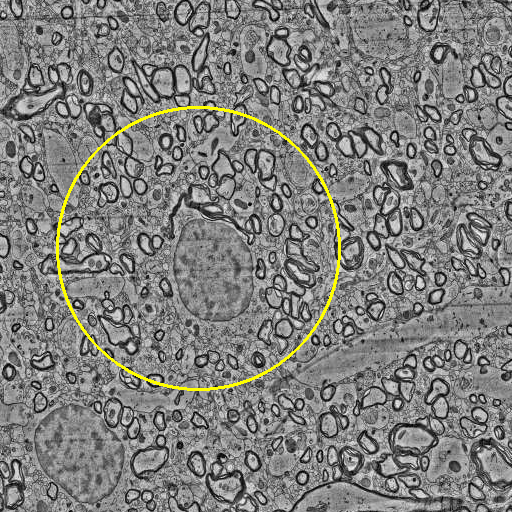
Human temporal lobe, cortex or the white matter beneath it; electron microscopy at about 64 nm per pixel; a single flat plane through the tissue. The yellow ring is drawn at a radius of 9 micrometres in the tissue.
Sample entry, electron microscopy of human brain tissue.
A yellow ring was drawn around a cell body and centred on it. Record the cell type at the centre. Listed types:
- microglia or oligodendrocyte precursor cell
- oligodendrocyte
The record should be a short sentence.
The cell at the ring's centre is an oligodendrocyte.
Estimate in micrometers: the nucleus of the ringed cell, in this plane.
Roughly 7 micrometres by 5 micrometres, in this plane.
